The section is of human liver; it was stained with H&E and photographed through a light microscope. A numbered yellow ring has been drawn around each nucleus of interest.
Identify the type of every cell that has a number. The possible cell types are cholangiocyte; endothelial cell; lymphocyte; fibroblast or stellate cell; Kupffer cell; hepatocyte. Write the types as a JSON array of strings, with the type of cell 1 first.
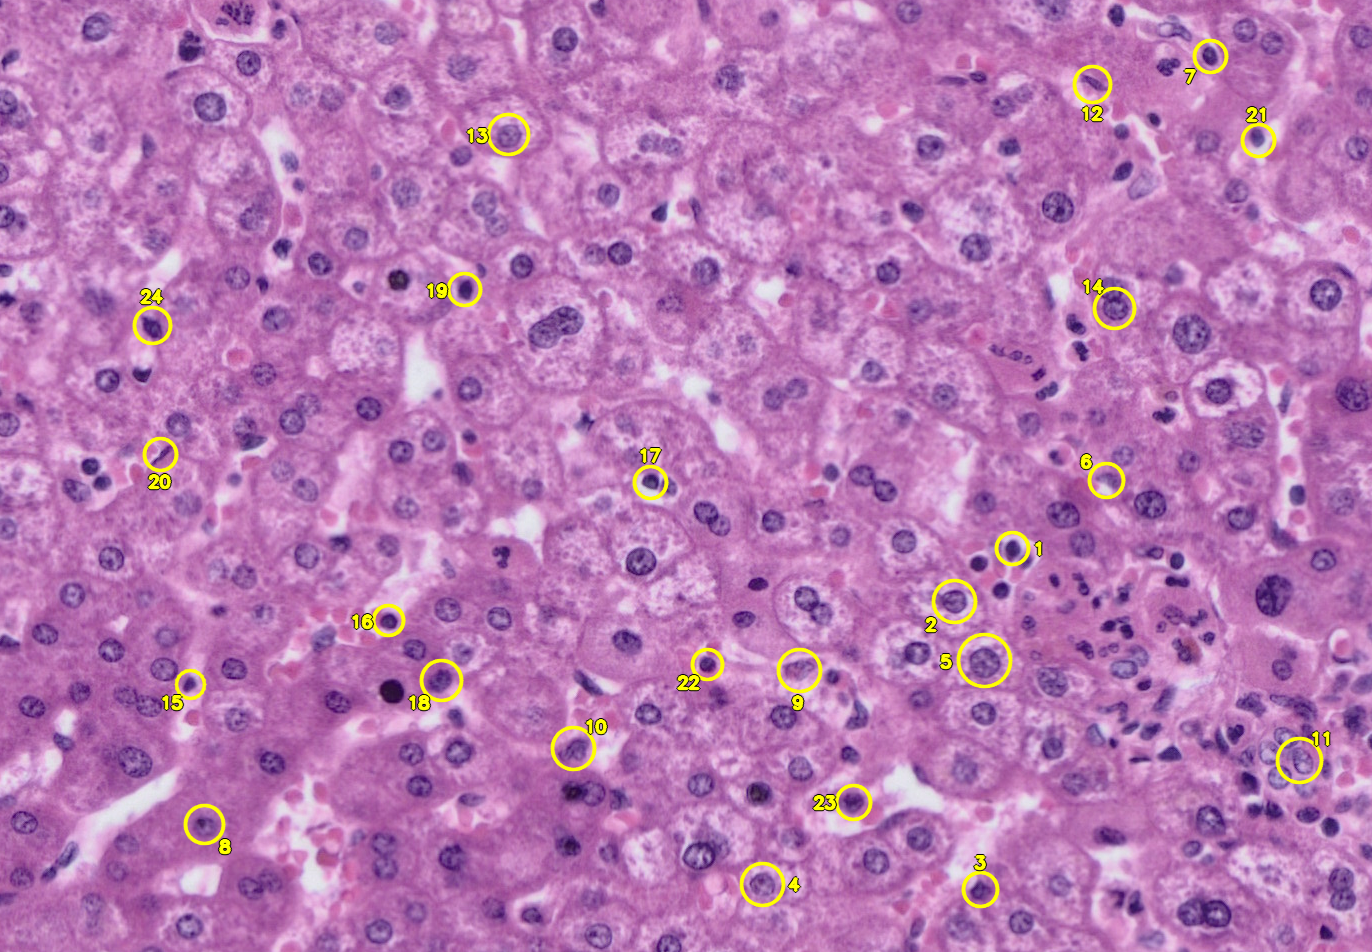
["lymphocyte", "hepatocyte", "fibroblast or stellate cell", "hepatocyte", "hepatocyte", "endothelial cell", "lymphocyte", "hepatocyte", "Kupffer cell", "Kupffer cell", "cholangiocyte", "endothelial cell", "hepatocyte", "hepatocyte", "lymphocyte", "lymphocyte", "lymphocyte", "fibroblast or stellate cell", "lymphocyte", "endothelial cell", "lymphocyte", "lymphocyte", "Kupffer cell", "fibroblast or stellate cell"]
